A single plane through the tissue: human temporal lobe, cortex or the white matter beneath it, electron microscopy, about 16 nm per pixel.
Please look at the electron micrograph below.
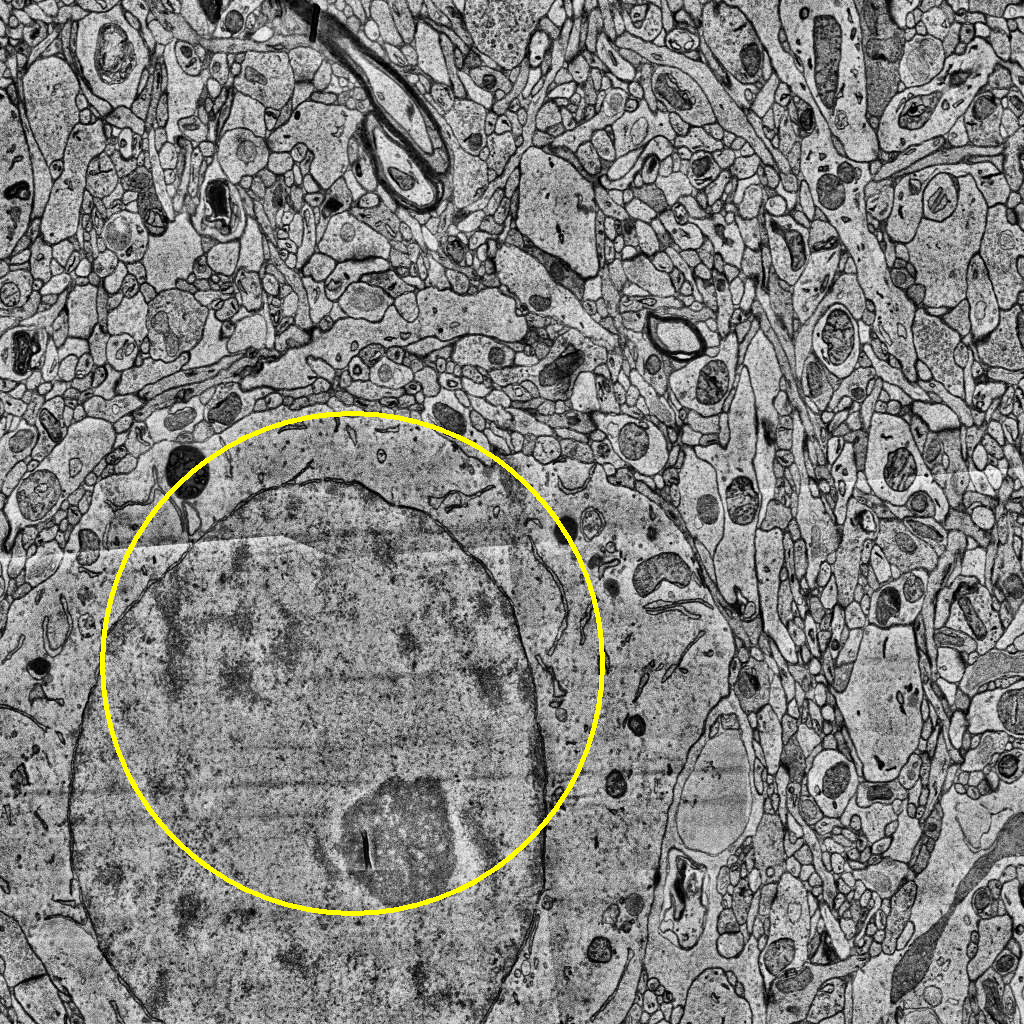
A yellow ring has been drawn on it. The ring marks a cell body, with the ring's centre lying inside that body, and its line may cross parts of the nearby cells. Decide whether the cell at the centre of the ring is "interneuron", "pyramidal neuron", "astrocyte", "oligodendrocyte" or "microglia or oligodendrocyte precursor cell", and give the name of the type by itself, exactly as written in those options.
pyramidal neuron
